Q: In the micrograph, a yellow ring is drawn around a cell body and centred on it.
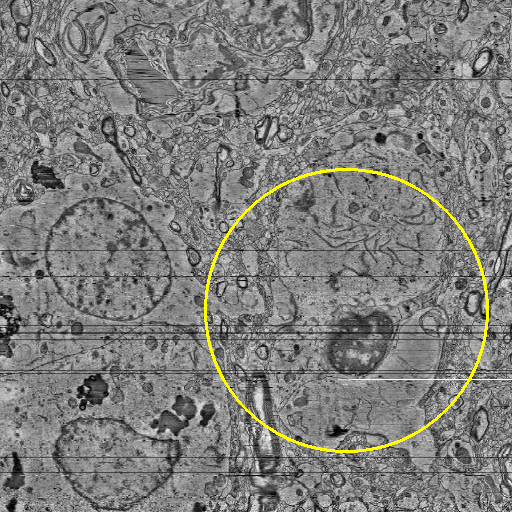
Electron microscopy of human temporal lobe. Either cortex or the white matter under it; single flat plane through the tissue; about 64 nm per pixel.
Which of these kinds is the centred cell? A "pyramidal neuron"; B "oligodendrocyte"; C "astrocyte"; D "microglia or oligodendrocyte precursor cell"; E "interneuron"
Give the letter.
D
